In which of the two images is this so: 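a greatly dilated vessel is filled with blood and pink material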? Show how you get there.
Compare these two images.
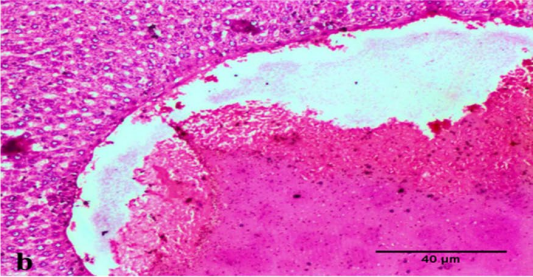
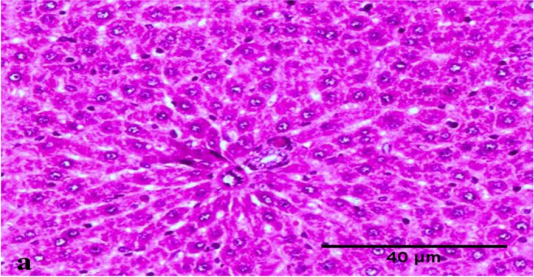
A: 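First image: a huge vessel filled with red cells and pale pink mass occupies most of the field. Second image: only a small central vessel with radiating cords of cells. The answer: the first image.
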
